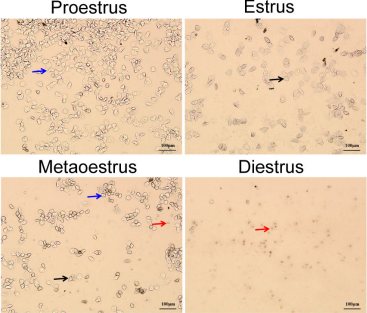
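These are vaginal smears in four fields, each showing a different mix of shed cells on a pale beige background. The metaoestrus field mixes epithelial cells, flat keratinized cells and small round white blood cells. The diestrus field is sparse, with mostly small, round white blood cells and few epithelial cells. The cells are unstained or only faintly contrasted. Their outlines are dark, so their shape and size can be compared.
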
